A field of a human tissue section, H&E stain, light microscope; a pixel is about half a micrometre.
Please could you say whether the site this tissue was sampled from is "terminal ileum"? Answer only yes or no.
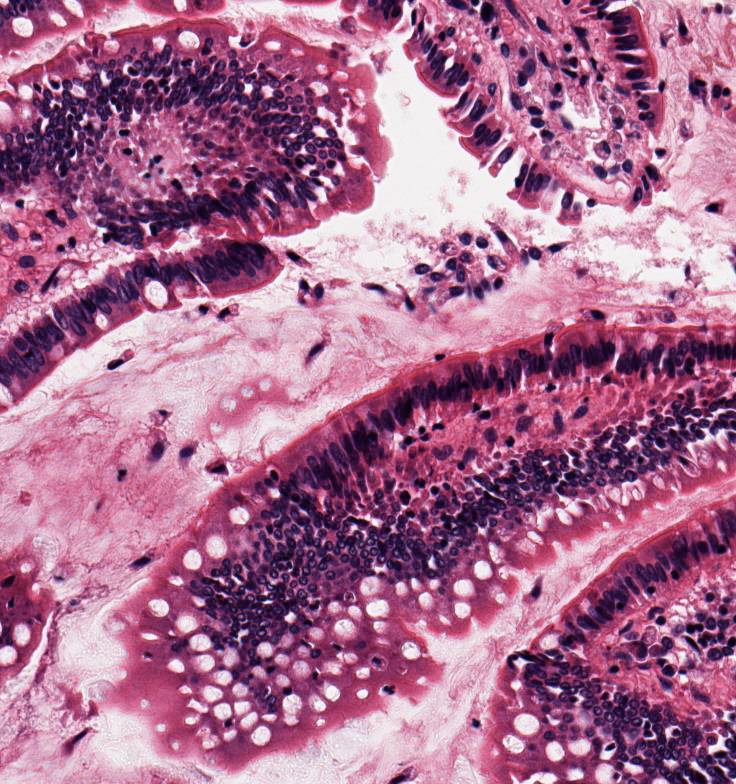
yes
